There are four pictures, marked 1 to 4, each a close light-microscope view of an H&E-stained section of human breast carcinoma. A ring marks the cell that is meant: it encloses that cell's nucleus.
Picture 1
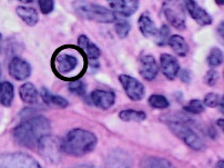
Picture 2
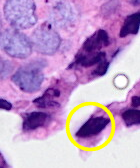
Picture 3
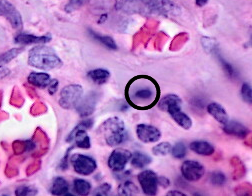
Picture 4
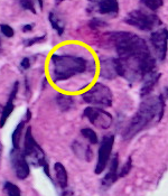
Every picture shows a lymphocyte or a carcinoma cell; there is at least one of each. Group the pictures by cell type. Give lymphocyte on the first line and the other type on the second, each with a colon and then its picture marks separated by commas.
lymphocyte: 1, 3
carcinoma cell: 2, 4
